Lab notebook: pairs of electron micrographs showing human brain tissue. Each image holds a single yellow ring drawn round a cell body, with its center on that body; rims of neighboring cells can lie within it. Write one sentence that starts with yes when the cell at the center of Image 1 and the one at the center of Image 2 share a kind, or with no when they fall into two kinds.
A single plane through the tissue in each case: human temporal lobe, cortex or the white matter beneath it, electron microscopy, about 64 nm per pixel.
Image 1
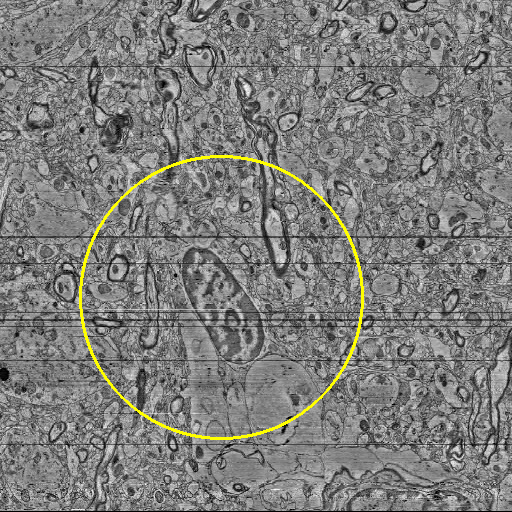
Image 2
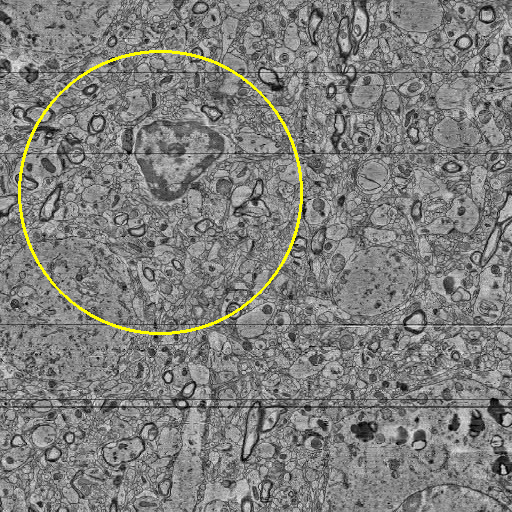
Yes, the centered cell in Image 1 and the centered cell in Image 2 are of one kind.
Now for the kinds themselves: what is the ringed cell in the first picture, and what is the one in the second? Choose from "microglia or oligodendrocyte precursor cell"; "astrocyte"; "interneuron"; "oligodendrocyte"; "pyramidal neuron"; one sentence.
Both the first and the second picture show a microglial cell or oligodendrocyte precursor cell in the ring.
